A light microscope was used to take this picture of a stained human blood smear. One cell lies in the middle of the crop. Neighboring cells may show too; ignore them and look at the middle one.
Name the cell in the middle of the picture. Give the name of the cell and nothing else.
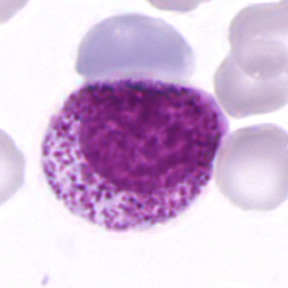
myelocyte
